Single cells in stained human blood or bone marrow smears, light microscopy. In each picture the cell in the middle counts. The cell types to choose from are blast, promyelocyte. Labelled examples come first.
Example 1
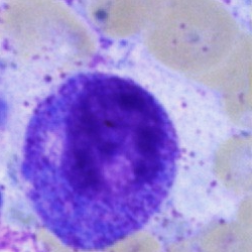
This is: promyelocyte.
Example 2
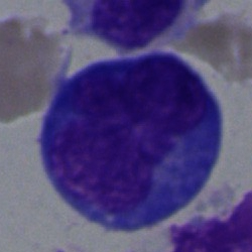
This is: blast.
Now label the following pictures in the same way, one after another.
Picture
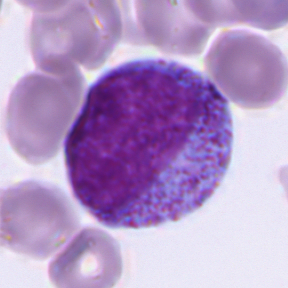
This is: promyelocyte.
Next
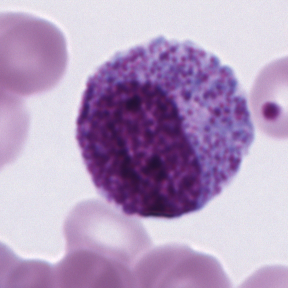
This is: promyelocyte.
